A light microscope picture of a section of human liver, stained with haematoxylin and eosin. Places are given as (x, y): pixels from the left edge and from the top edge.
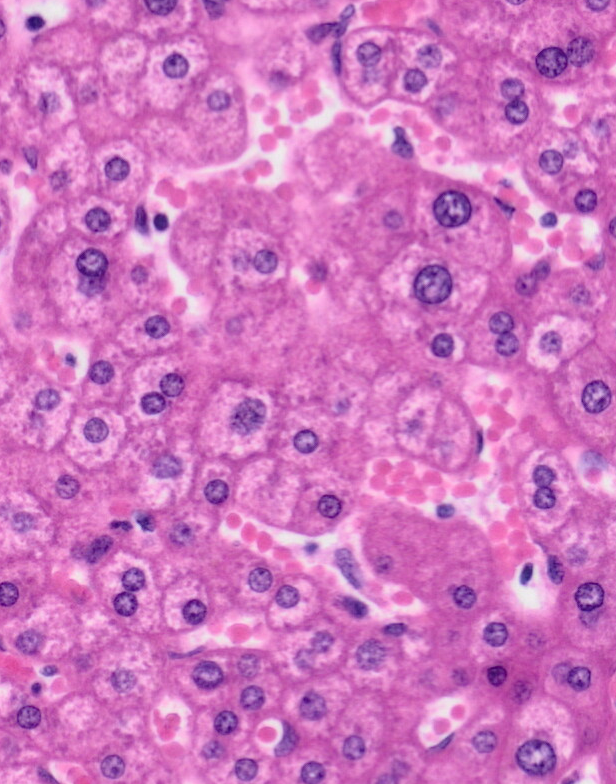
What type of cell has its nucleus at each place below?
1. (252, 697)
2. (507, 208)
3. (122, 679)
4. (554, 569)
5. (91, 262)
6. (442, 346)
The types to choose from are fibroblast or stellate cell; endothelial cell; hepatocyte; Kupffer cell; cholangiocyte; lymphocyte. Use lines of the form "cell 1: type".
cell 1: hepatocyte
cell 2: endothelial cell
cell 3: hepatocyte
cell 4: fibroblast or stellate cell
cell 5: hepatocyte
cell 6: hepatocyte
